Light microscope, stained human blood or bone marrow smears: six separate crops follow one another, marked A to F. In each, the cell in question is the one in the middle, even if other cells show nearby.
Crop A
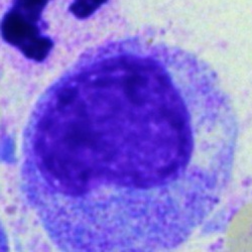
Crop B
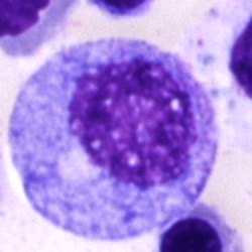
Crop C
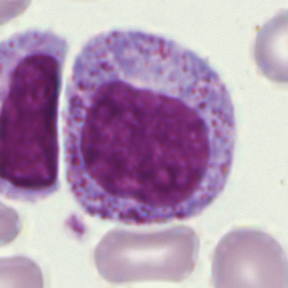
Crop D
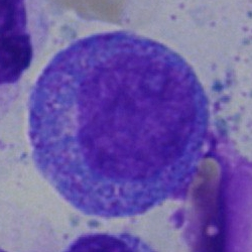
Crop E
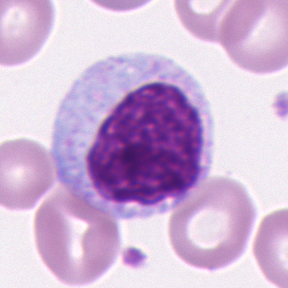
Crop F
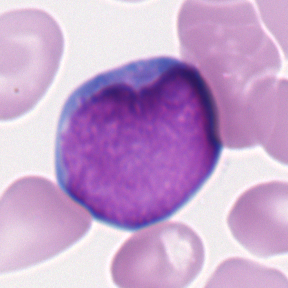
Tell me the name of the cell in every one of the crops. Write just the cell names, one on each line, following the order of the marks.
promyelocyte
promyelocyte
promyelocyte
promyelocyte
metamyelocyte
blast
